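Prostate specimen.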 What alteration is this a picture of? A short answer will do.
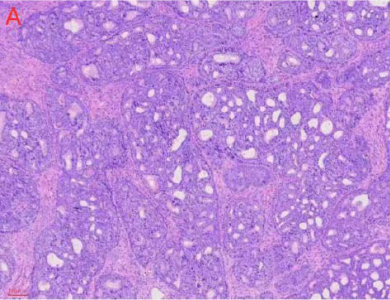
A: adenoid cystic carcinoma morphology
